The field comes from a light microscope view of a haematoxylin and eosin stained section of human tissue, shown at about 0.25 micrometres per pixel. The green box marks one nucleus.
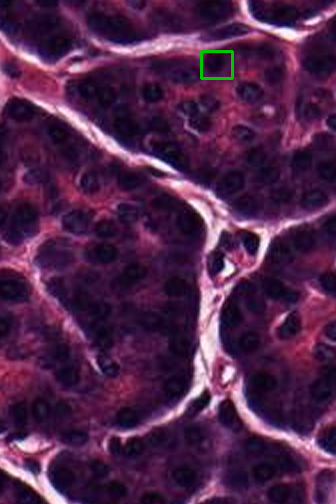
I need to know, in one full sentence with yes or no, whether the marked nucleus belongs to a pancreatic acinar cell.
Yes, the marked nucleus, as shown, belongs to a pancreatic acinar cell.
